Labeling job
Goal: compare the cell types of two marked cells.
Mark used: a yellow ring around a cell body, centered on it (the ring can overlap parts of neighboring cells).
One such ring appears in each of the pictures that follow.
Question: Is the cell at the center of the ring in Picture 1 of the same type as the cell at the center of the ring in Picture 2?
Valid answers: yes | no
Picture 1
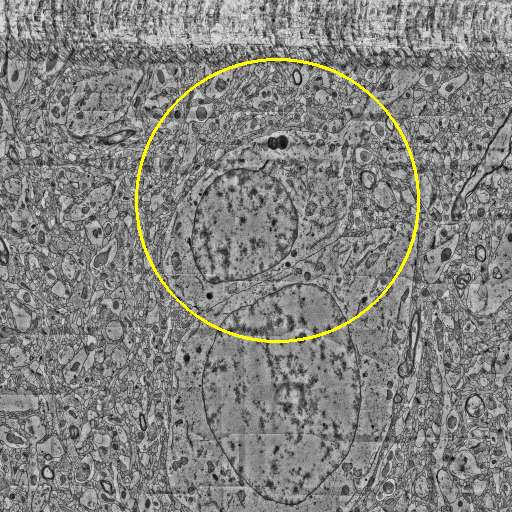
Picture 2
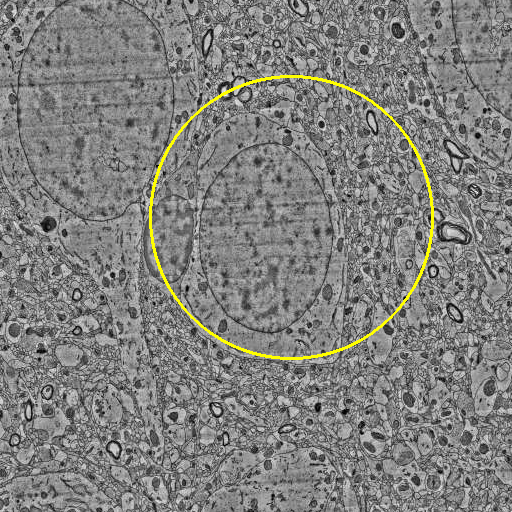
yes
